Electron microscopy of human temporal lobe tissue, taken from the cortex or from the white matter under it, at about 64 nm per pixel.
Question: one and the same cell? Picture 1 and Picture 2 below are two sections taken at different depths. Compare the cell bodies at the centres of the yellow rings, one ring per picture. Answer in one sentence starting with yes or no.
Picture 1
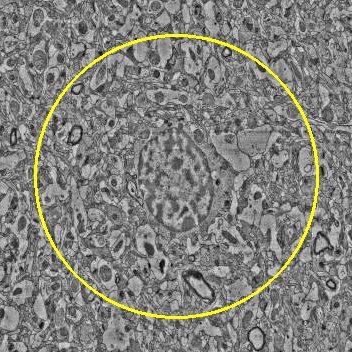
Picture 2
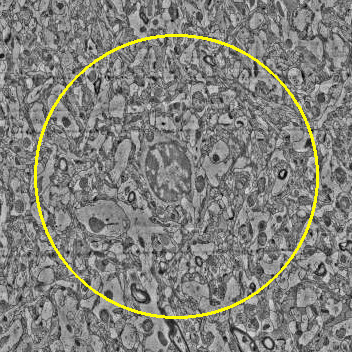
Yes, one cell appears twice, once in each ring.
